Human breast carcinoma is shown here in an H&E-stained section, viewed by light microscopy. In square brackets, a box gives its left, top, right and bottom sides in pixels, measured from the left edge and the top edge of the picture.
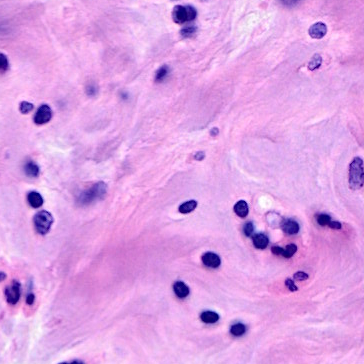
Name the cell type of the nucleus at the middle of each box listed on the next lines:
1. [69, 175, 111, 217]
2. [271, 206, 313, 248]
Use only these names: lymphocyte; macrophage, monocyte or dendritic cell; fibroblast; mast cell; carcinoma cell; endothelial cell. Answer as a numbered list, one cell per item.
1. fibroblast
2. lymphocyte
